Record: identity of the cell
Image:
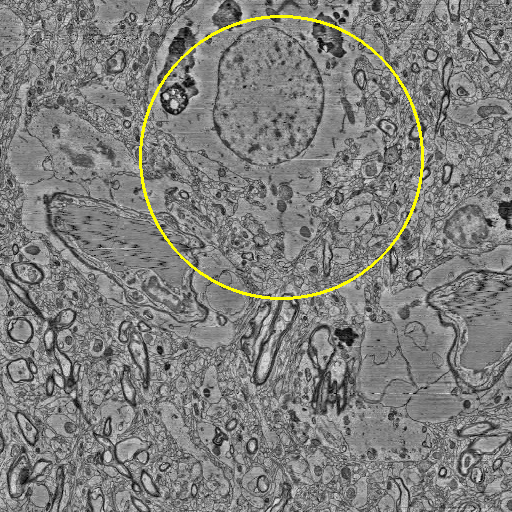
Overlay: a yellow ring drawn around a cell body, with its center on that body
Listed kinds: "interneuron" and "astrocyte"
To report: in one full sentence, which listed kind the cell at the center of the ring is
In the image, the cell body at the ring's center belongs to an astrocyte.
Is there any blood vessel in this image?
Yes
